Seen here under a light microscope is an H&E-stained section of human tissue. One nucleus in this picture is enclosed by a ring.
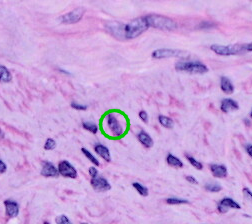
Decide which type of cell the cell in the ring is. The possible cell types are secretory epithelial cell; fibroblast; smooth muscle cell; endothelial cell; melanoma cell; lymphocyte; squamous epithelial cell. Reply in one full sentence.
The identity of the cell in the ring is that of a smooth muscle cell.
